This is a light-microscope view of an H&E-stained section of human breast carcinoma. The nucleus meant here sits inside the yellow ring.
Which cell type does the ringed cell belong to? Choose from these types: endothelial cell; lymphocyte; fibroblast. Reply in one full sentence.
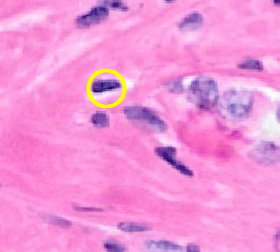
Within the stained tissue, the ringed cell is a lymphocyte.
